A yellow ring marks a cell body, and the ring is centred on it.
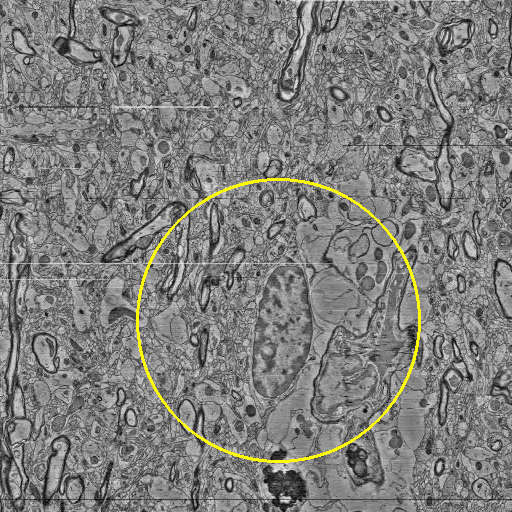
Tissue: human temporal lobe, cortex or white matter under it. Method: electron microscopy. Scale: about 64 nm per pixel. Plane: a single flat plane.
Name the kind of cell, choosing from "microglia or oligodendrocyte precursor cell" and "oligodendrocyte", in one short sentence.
The marked cell body belongs to a microglial cell or oligodendrocyte precursor cell.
